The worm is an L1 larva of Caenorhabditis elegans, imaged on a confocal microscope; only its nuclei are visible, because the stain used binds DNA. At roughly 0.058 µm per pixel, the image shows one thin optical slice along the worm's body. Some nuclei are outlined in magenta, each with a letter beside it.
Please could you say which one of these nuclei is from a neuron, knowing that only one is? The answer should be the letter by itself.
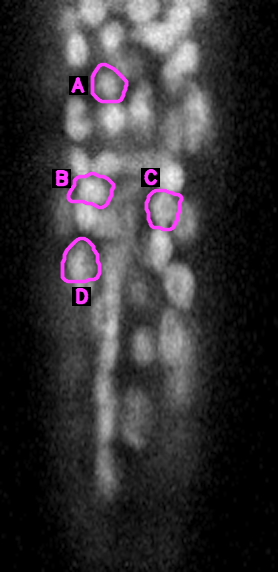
A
